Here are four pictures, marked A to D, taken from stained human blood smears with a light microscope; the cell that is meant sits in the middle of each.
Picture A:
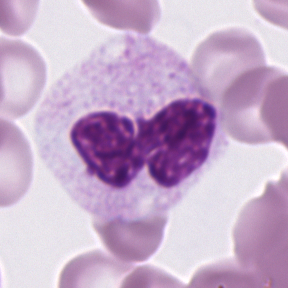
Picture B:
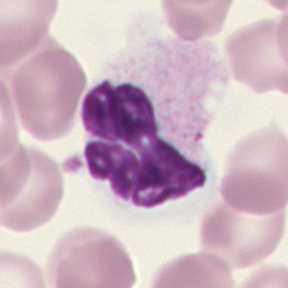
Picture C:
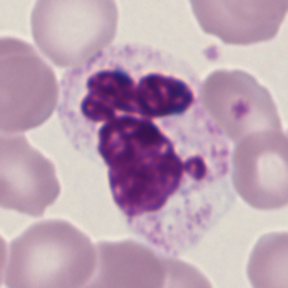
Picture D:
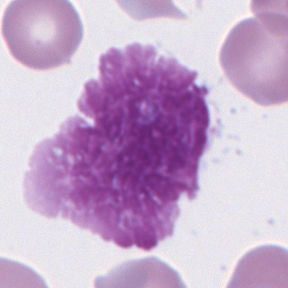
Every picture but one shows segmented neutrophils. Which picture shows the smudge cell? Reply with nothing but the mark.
D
